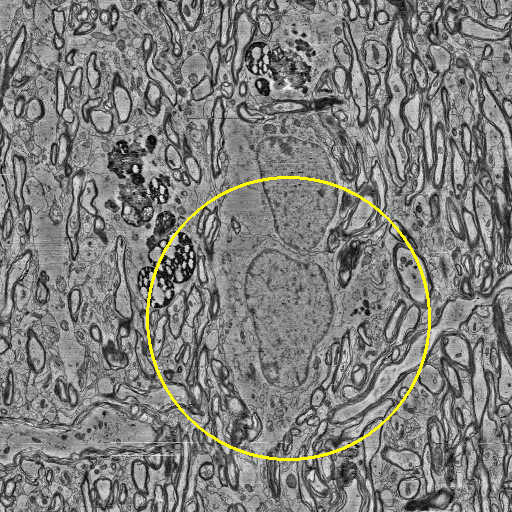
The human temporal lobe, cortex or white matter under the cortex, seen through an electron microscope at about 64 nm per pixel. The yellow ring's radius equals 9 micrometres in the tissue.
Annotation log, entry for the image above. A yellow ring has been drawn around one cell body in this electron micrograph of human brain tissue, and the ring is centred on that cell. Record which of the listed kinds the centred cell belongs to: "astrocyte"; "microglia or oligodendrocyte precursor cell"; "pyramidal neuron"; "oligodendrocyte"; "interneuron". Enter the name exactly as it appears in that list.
astrocyte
